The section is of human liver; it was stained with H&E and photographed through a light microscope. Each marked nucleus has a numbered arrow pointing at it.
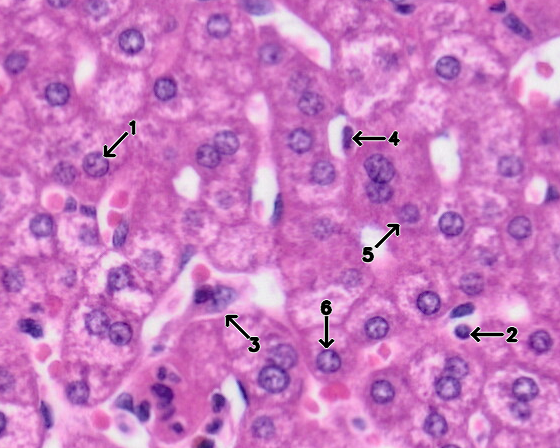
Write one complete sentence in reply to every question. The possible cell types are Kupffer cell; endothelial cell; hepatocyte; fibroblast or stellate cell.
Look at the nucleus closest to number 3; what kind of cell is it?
Number 3 lies closest to the nucleus of an endothelial cell.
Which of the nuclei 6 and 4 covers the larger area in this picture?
Nucleus 6 covers more area, about 2 times as much as nucleus 4.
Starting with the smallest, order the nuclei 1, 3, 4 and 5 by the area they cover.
The order from the smallest nucleus to the largest is 4, 5, 1, 3.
